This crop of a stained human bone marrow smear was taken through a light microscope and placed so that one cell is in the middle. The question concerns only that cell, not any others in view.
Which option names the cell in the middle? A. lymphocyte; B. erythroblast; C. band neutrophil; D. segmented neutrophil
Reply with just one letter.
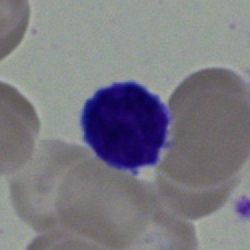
A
